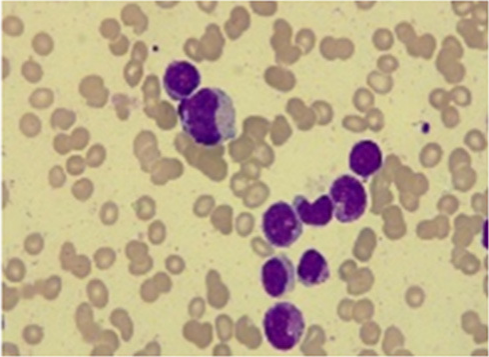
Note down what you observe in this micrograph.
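This is a stained peripheral blood smear, with red cells filling the background and a group of nucleated cells lying across the middle. Many of these nucleated cells have purple nuclei that are folded, indented or irregular in outline rather than perfectly round. Their cytoplasm is grey-blue and its amount differs from cell to cell. One cell toward the upper left has a broader, paler cytoplasm around its nucleus. The cells vary in size, and some have uneven edges.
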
